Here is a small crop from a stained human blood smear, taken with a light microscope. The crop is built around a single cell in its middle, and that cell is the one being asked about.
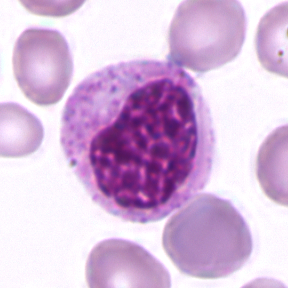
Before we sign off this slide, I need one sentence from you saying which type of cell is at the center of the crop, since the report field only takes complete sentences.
Standing at the centre of this crop is a metamyelocyte.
